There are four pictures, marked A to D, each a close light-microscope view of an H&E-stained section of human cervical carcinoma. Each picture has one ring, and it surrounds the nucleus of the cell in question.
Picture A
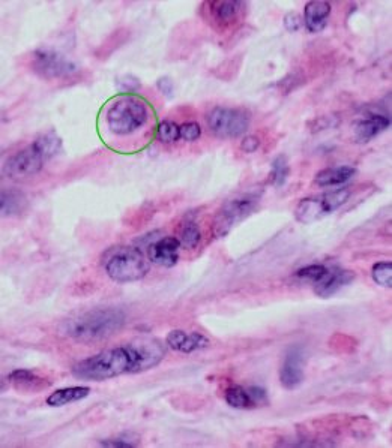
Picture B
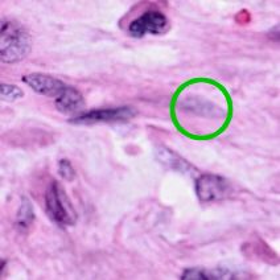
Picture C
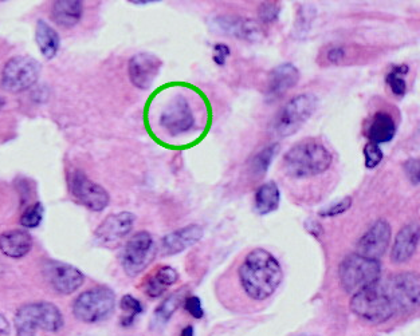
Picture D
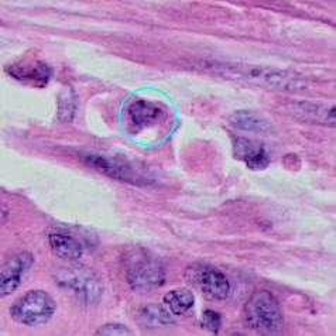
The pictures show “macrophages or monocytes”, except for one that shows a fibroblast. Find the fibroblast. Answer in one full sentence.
The picture with the fibroblast is B.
